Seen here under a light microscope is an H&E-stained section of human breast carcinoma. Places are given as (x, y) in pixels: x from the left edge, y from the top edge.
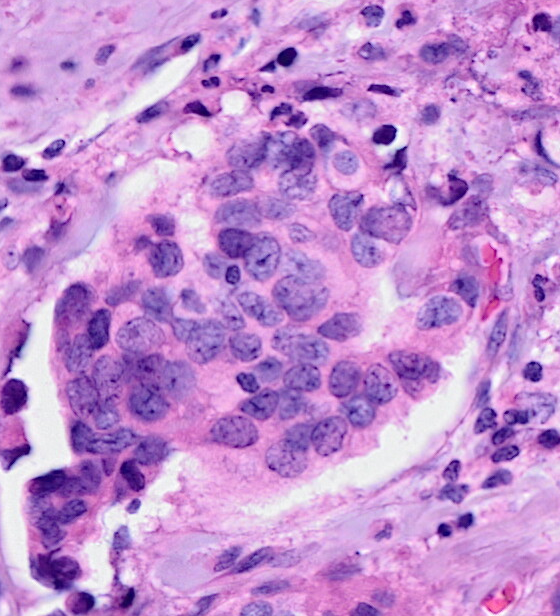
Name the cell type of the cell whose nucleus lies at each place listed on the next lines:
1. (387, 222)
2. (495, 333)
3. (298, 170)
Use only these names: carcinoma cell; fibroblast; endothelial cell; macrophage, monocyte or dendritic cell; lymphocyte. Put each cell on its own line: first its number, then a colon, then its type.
1: carcinoma cell
2: endothelial cell
3: carcinoma cell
